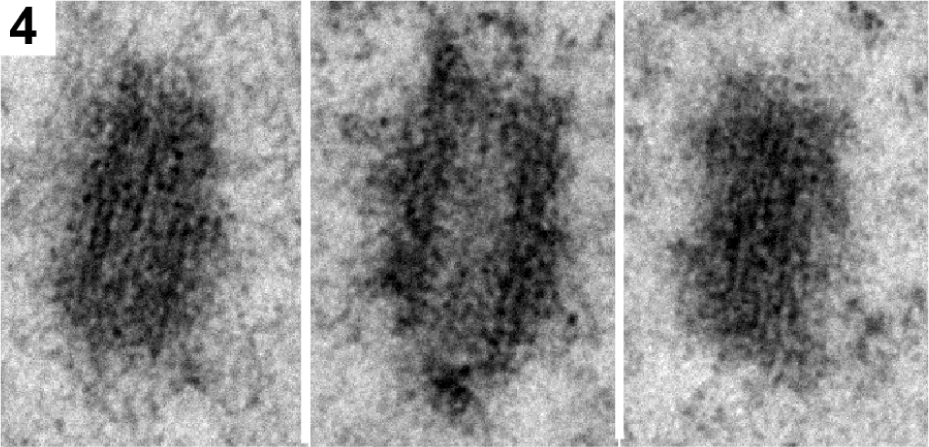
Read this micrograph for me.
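Three adjacent electron micrographs show one centriole cut lengthwise in consecutive serial sections. It appears as a small, roughly rectangular, barrel-shaped electron-dense body lying in finely granular cytoplasm. In the middle section two dark parallel walls run along its length, separated by a paler central lumen, and faint longitudinal striations follow the walls. In the flanking sections the section grazes the wall, so the body looks more uniformly dense with fine parallel lines. The ends are blunt, and a small dense knob lies at one end in the middle section. No surrounding membranes or appendages are clearly visible.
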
